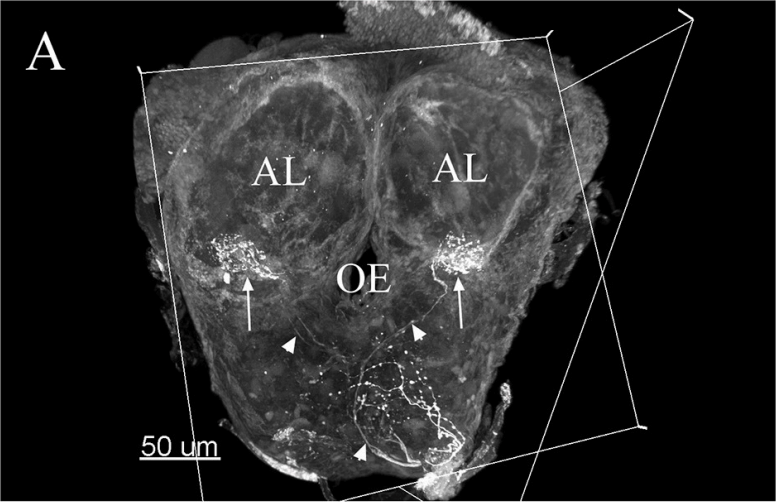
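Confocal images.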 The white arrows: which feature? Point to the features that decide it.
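Nerve terminals. Each arrow points to a dense cluster of bright fine puncta and branches. A similar bright cluster lies in the lower part of both lobes, one on each side.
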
